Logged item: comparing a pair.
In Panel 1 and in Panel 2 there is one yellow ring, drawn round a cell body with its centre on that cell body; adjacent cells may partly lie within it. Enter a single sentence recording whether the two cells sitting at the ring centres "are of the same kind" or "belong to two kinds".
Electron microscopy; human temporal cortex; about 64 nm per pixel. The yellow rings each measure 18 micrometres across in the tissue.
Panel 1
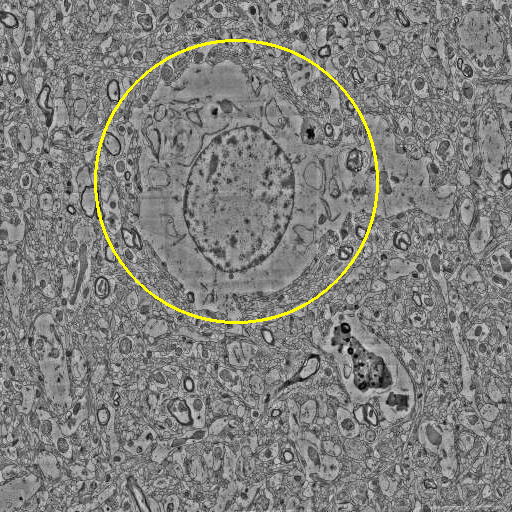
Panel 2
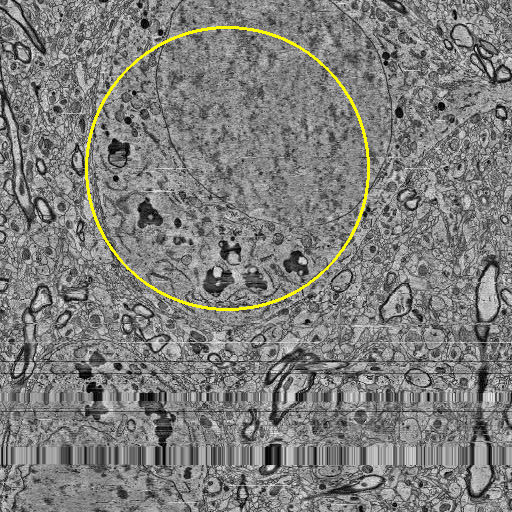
Logged: the cells centred in the rings of Panel 1 and Panel 2 belong to two kinds.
